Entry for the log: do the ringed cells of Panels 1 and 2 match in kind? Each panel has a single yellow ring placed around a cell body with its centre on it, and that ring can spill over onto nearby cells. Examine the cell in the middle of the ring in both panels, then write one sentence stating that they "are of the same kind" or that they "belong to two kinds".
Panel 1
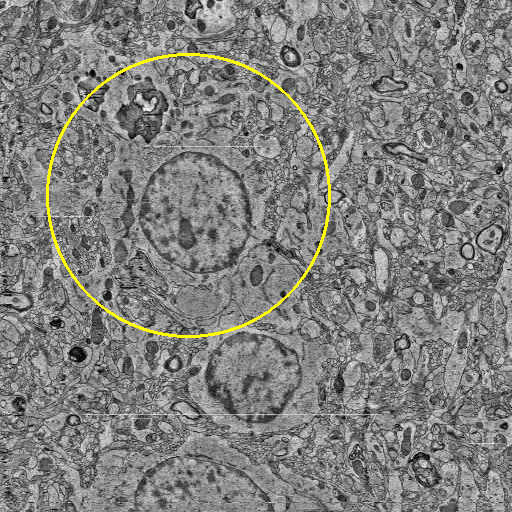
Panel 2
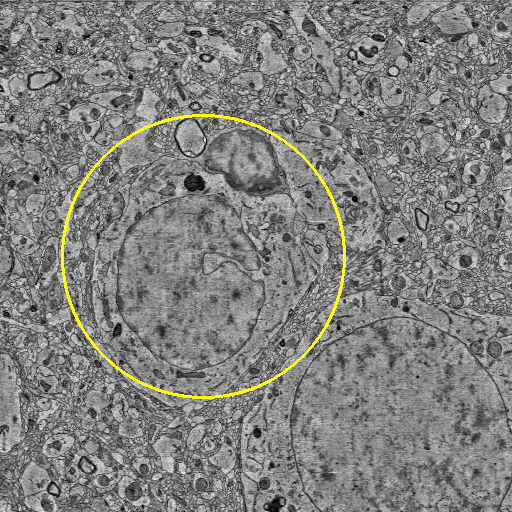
The centre cell of Panel 1's ring and that of Panel 2's ring belong to two kinds.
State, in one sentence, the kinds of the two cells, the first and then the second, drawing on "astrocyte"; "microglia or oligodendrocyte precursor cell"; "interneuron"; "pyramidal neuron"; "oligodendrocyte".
The ring in the second picture is centred on an interneuron, the ring in the first on an astrocyte.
